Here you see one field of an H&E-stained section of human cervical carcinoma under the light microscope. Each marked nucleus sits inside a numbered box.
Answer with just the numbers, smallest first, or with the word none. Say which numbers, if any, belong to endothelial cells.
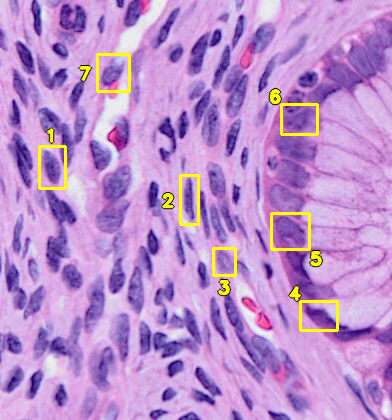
3, 7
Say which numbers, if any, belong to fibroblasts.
1, 2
